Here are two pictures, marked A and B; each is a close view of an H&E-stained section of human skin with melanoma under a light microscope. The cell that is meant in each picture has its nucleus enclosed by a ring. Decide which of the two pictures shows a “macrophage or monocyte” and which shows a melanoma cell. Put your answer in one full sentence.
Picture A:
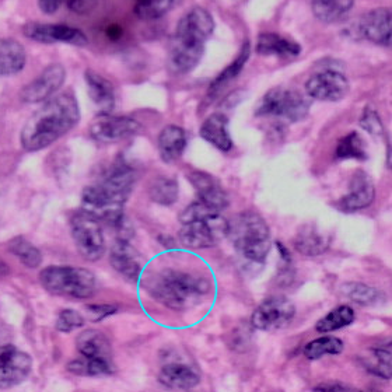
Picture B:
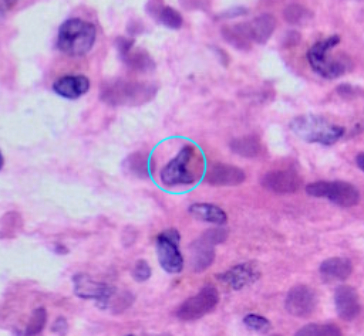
In picture A the cell is a melanoma cell; in picture B, a “macrophage or monocyte”.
